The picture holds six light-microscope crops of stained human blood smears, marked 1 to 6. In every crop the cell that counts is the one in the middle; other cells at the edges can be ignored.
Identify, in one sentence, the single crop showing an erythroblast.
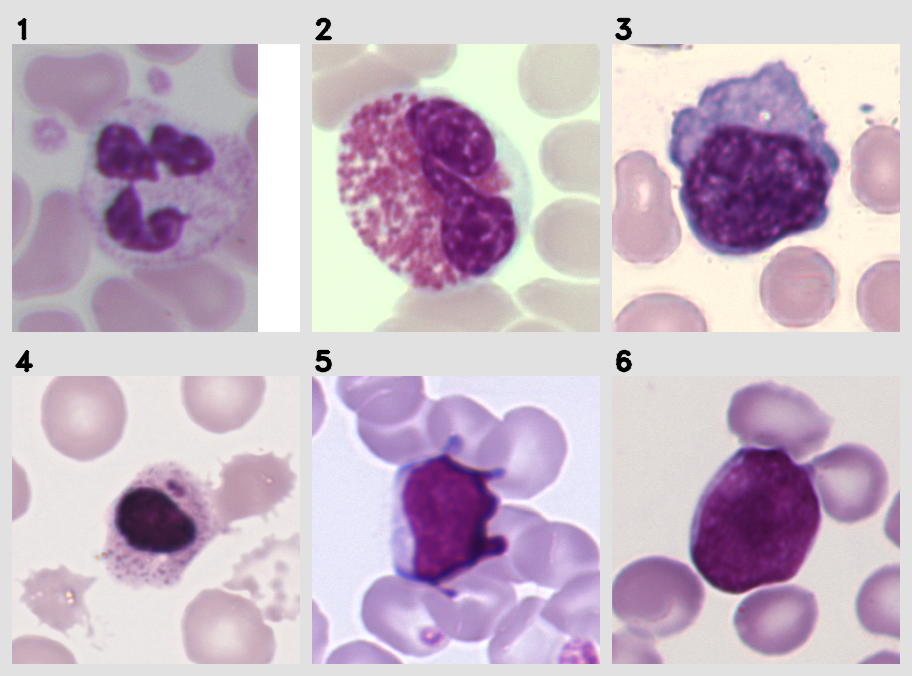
The sole crop showing an erythroblast is crop 4.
